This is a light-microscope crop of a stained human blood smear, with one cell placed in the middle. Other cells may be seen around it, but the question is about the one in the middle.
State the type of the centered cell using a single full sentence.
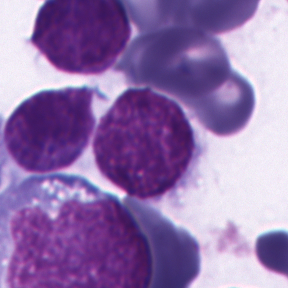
Standing at the centre of this crop is a myeloblast.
